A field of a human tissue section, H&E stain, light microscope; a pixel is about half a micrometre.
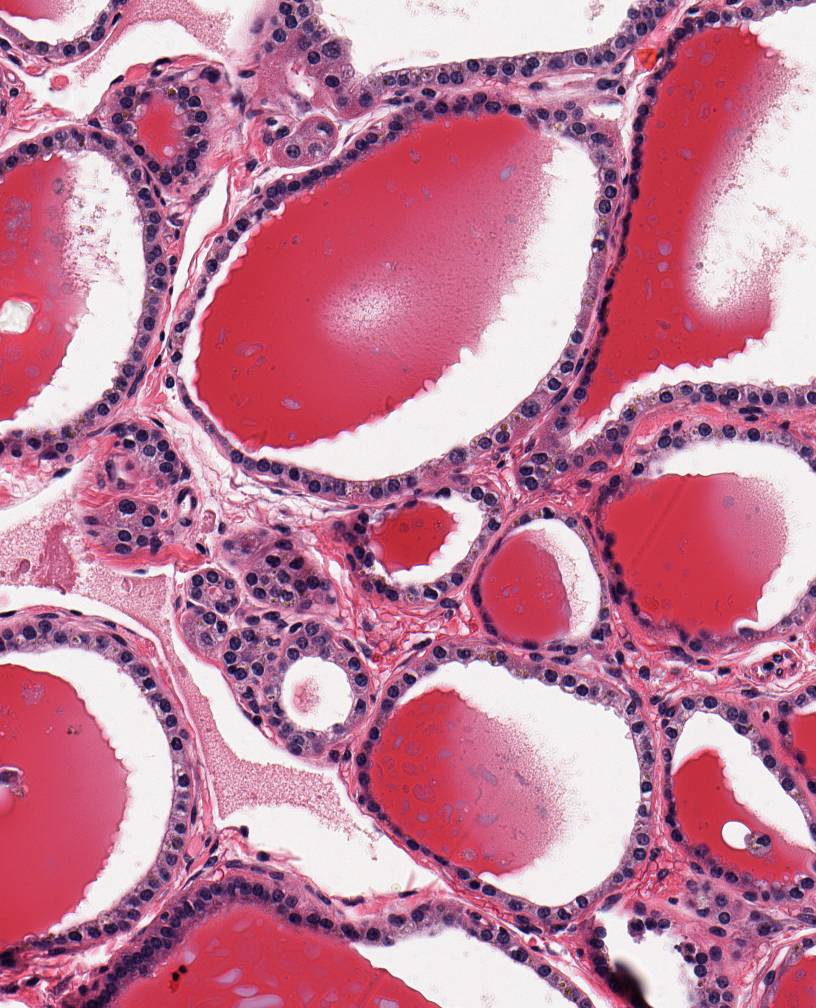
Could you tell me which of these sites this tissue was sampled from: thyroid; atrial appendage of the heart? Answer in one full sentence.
This is a tissue section sampled from the thyroid.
